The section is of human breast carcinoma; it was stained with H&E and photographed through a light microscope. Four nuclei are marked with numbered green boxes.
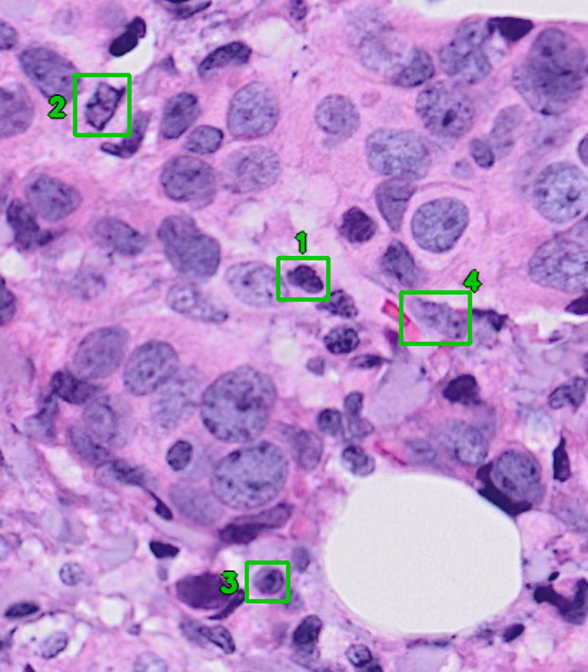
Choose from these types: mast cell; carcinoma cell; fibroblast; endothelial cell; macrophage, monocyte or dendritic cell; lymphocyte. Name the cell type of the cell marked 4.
endothelial cell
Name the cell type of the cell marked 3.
lymphocyte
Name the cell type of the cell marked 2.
carcinoma cell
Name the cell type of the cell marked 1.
lymphocyte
